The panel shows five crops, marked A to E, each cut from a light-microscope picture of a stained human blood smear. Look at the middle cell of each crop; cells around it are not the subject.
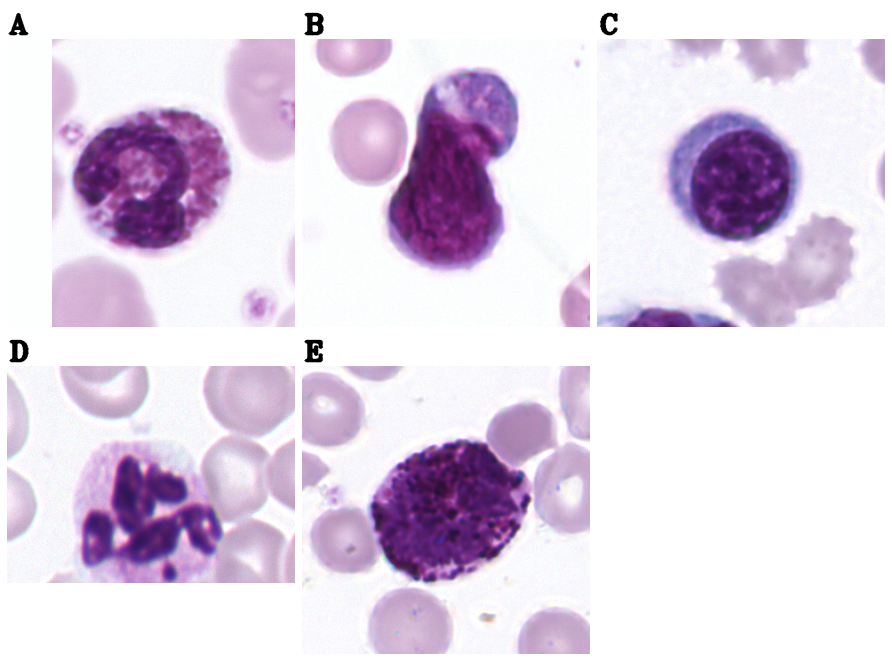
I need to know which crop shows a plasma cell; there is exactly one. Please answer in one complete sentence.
Of the labelled crops, the one that shows a plasma cell is crop C.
